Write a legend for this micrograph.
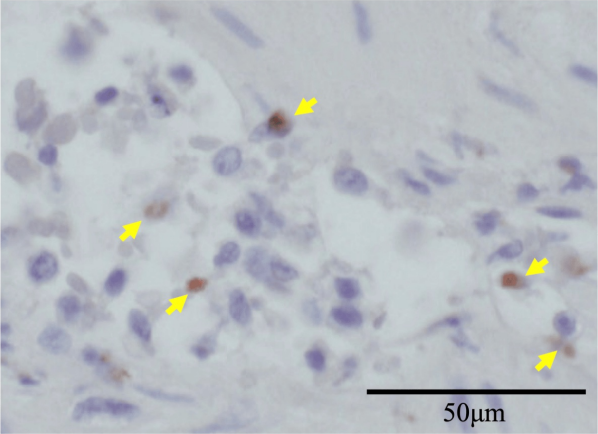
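Most nuclei are stained blue. They are oval or elongated, spindle-shaped, and lie scattered through pale, loosely arranged tissue with clear, empty-looking spaces. Several faint, pale round cell profiles are grouped at the upper left. A few small, compact brown-stained foci sit in the stroma between the blue nuclei, each about the size of a small nucleus or smaller. The brown foci are sparse and far outnumbered by the unstained blue nuclei.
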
